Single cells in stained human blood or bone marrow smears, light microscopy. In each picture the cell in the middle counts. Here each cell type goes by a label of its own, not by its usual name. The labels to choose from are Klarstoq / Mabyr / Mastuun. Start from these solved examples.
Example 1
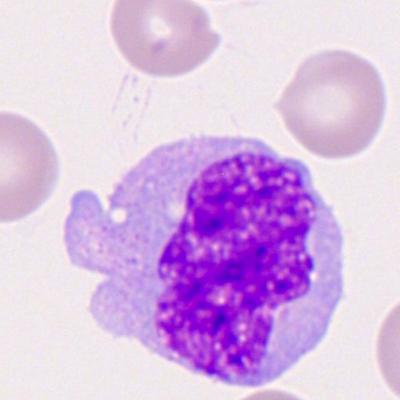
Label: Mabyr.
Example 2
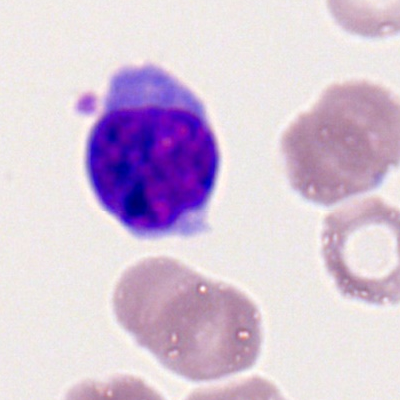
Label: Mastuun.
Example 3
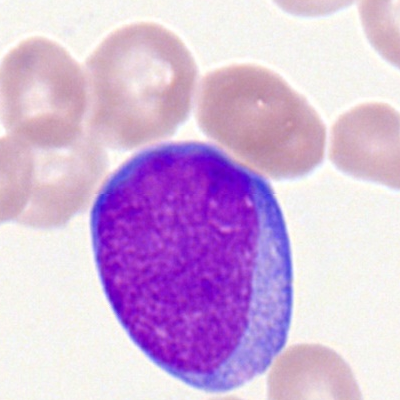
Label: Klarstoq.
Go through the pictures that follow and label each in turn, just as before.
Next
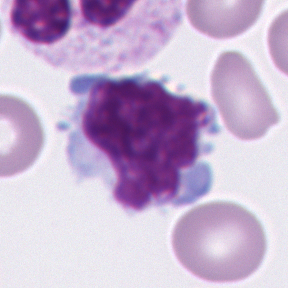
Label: Mastuun.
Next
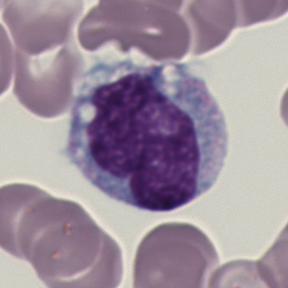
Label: Mabyr.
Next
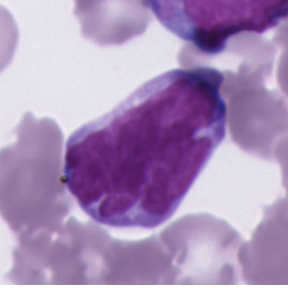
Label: Klarstoq.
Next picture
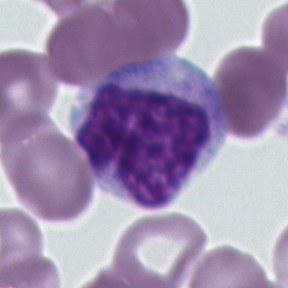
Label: Mabyr.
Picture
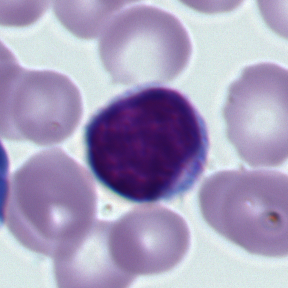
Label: Mastuun.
